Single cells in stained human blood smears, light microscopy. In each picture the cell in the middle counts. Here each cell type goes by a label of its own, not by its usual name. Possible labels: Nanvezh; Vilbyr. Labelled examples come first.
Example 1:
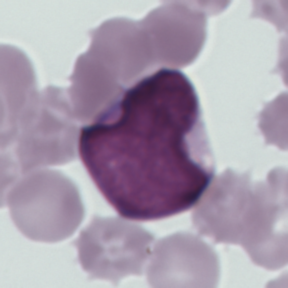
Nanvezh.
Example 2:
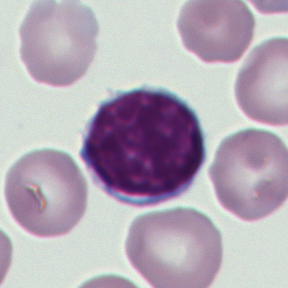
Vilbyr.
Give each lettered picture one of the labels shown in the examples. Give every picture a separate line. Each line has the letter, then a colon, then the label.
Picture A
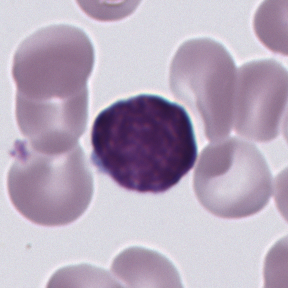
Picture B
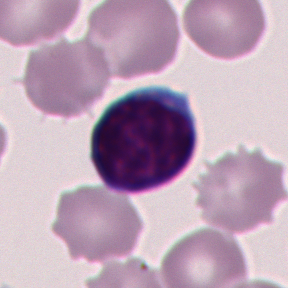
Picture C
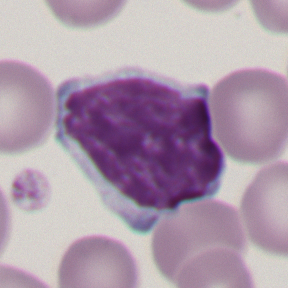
A: Vilbyr.
B: Vilbyr.
C: Vilbyr.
